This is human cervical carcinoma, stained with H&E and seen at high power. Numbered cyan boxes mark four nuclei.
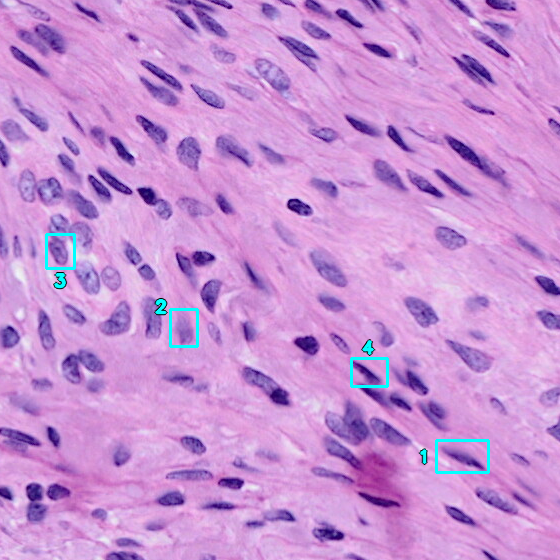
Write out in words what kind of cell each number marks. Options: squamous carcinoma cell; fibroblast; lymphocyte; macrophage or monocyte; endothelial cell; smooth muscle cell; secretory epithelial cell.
Cell 1 is a fibroblast, cell 2 is a fibroblast, cell 3 is an endothelial cell and cell 4 is a fibroblast.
